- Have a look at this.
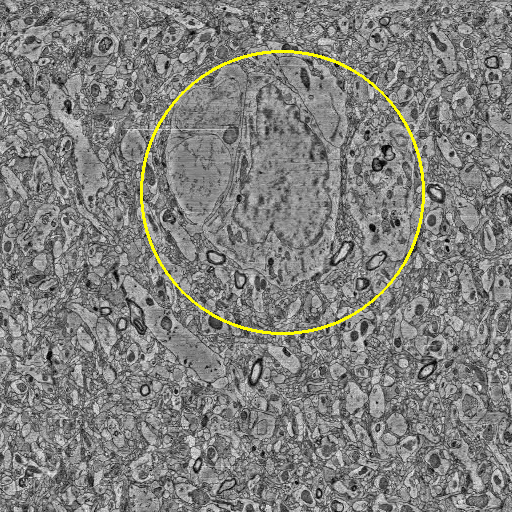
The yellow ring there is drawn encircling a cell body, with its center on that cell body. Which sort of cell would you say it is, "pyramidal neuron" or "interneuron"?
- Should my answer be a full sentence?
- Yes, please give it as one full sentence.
For this picture, an interneuron is the cell where the yellow ring has its center.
